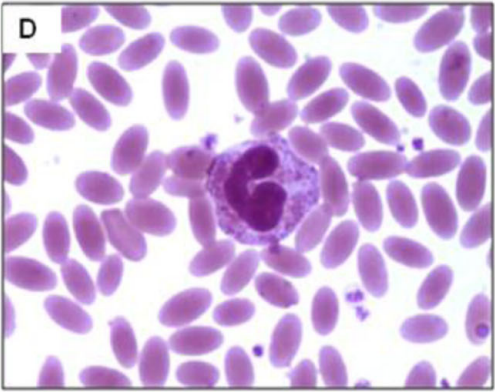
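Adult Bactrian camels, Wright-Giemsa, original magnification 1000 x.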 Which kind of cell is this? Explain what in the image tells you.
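A white cell whose cytoplasm is packed with coarse granules. Curved, indented purple nucleus.
Eosinophils.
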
